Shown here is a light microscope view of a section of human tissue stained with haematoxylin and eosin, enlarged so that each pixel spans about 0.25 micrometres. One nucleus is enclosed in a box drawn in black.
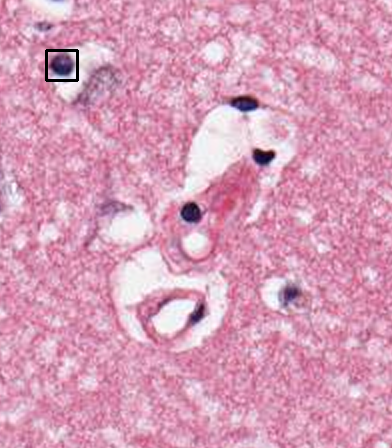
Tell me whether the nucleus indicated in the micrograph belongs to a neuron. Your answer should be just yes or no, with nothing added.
no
